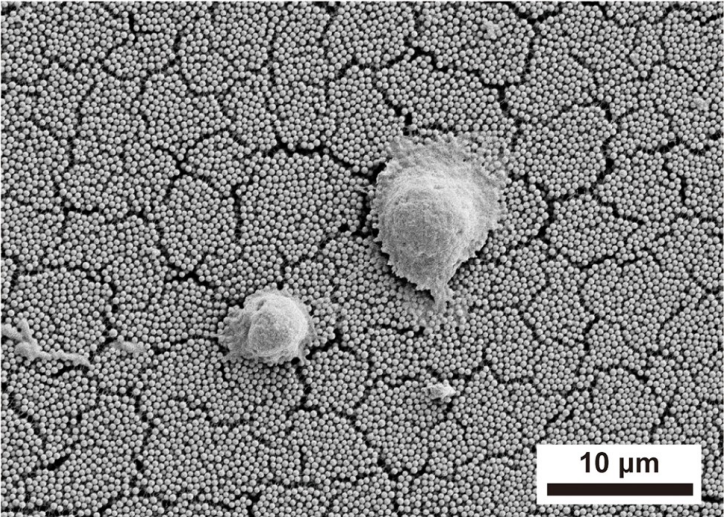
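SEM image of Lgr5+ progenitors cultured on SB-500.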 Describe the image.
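The larger cell is dome-shaped, with a rough, granular surface. Its margin is spread flat and frayed into many fine, filamentous projections that reach out over the surrounding spheres. The smaller cell nearby is rounded and compact, with a less spread edge. The sphere layer around both cells is broken by a network of narrow cracks that divide it into irregular, plate-like domains. A few thin strands of material lie on the substrate at the left edge of the field.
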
